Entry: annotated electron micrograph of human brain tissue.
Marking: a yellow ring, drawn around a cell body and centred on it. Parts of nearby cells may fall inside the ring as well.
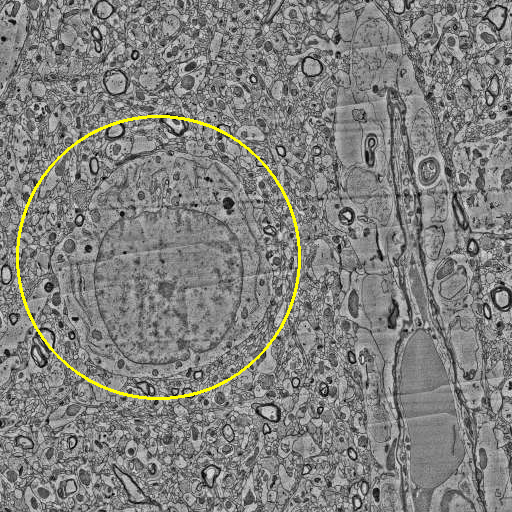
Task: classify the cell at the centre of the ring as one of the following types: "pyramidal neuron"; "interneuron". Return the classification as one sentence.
The marked cell is classified as an interneuron.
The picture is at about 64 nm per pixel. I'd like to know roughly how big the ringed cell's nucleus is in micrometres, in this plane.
In this plane the ringed cell's nucleus is roughly 10 micrometres across.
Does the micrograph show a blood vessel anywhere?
Yes, a vessel shows somewhere in the image.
